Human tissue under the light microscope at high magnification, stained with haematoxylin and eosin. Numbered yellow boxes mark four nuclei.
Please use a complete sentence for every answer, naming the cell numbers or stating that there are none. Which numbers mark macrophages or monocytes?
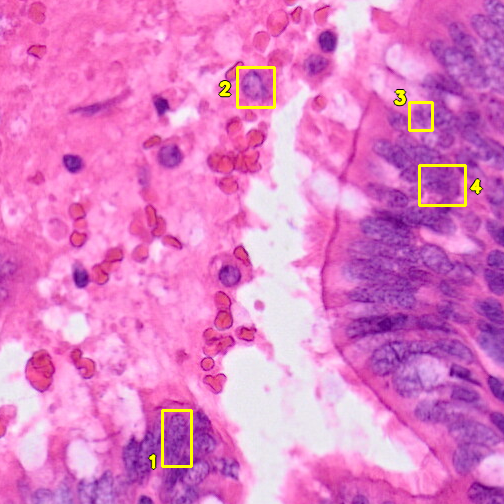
It is cell 2, and no other numbered cell, that is a macrophage or monocyte.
